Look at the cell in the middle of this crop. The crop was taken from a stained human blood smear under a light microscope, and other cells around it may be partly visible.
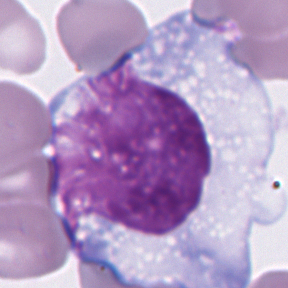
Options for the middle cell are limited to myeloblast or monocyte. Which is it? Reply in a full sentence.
The cell of interest, in the center, is a monocyte.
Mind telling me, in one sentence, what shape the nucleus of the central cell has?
Please observe that the nucleus consists of one compact round, oval or kidney-shaped mass.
